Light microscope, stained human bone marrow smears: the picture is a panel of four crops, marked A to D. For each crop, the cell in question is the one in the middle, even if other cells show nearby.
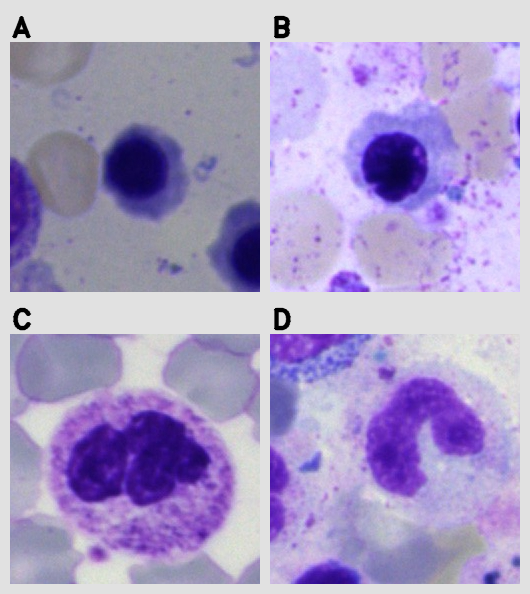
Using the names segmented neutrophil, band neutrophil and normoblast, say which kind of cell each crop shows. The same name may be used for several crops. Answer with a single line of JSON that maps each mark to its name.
{"A": "normoblast", "B": "normoblast", "C": "segmented neutrophil", "D": "band neutrophil"}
